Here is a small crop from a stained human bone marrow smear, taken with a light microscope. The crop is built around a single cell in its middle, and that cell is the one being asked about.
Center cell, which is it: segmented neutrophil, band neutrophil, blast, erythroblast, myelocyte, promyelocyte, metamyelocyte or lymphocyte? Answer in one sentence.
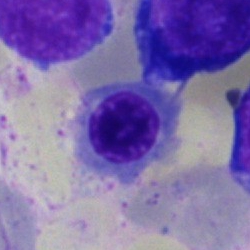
The central cell in this smear crop is an erythroblast.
